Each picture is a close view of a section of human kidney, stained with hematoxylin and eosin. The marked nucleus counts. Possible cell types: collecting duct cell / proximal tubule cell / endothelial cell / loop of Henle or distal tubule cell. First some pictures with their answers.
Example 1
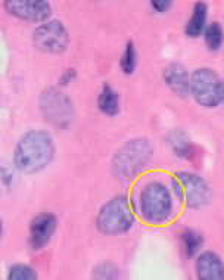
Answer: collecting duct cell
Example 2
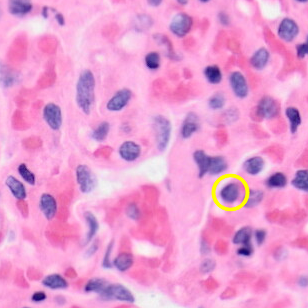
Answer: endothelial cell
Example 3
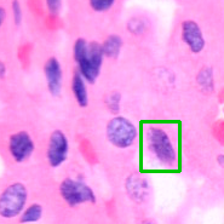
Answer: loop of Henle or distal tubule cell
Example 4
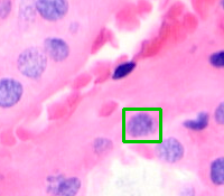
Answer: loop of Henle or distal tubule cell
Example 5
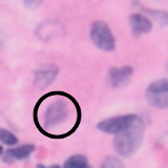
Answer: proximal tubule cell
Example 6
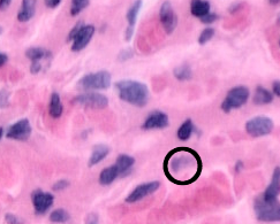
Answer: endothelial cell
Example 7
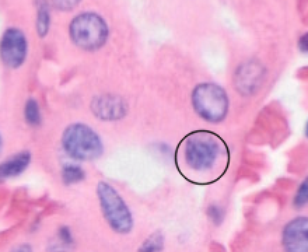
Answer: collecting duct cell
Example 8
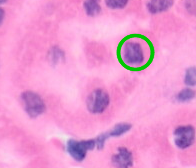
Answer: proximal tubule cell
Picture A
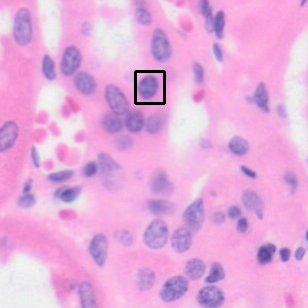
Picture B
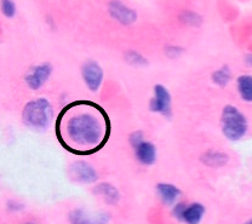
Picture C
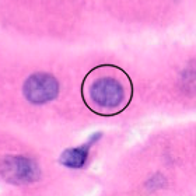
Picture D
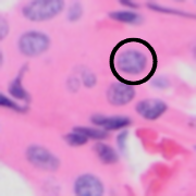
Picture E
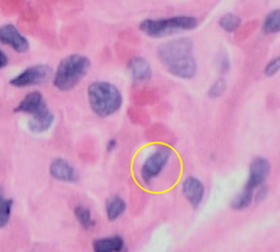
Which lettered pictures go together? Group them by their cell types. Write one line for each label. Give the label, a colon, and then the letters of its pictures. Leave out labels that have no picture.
collecting duct cell: A
proximal tubule cell: C
endothelial cell: E
loop of Henle or distal tubule cell: B, D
